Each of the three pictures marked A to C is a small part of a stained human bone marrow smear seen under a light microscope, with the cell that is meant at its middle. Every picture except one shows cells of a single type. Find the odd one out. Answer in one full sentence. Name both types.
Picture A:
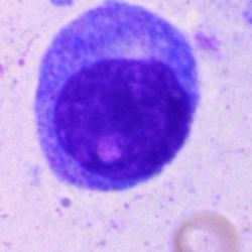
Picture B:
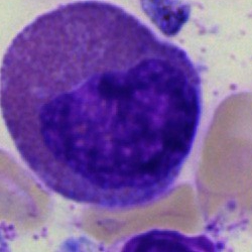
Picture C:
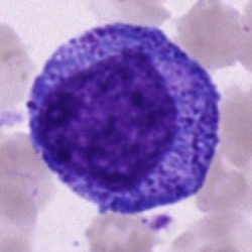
Unlike the rest, which show promyelocytes, picture B shows an eosinophil.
